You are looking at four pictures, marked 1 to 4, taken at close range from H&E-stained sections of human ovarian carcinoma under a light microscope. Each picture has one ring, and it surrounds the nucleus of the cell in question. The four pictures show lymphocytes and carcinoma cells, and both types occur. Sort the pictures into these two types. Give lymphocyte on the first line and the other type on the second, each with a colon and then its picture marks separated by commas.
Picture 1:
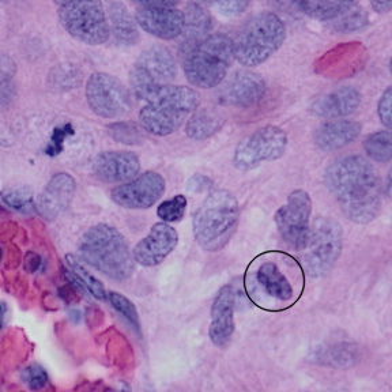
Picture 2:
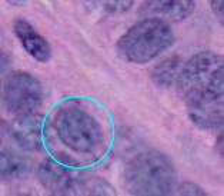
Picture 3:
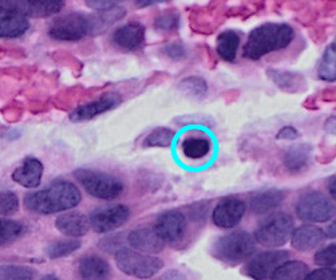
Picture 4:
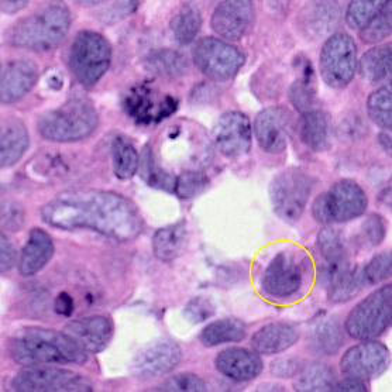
lymphocyte: 1, 3
carcinoma cell: 2, 4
